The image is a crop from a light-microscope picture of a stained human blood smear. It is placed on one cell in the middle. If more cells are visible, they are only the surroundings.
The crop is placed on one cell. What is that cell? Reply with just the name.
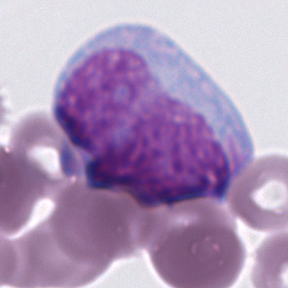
atypical promyelocyte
